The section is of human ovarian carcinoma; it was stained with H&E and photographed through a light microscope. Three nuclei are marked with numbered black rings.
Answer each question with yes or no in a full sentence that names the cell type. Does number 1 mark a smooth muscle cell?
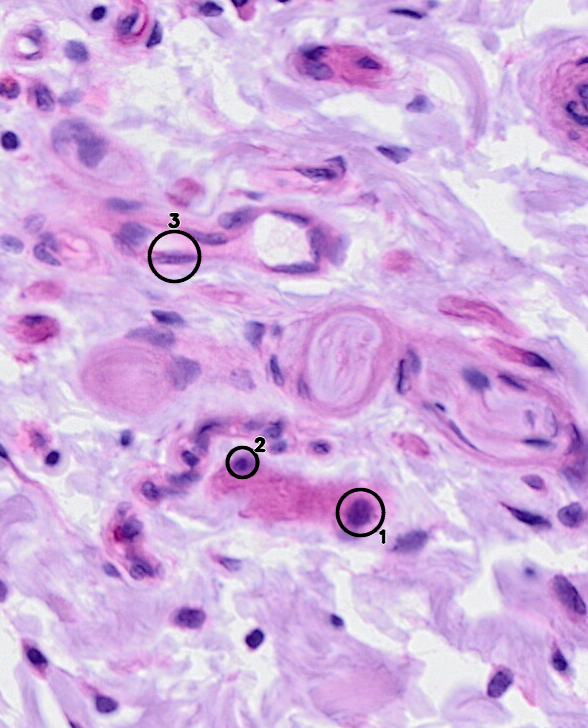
Yes, regarding cell number 1, it is a smooth muscle cell.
